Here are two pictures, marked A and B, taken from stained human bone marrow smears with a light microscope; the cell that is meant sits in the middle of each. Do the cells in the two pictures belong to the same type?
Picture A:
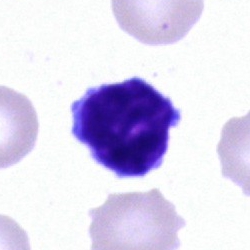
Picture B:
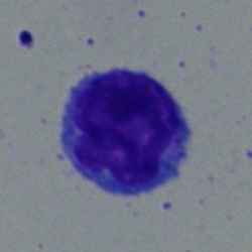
yes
